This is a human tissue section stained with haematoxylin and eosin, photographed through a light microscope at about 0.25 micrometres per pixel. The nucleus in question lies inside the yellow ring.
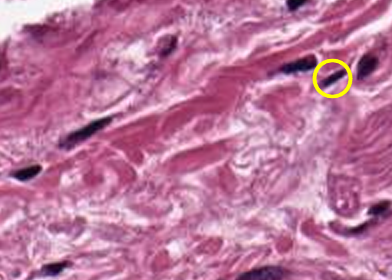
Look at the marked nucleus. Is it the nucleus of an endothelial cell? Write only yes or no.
no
